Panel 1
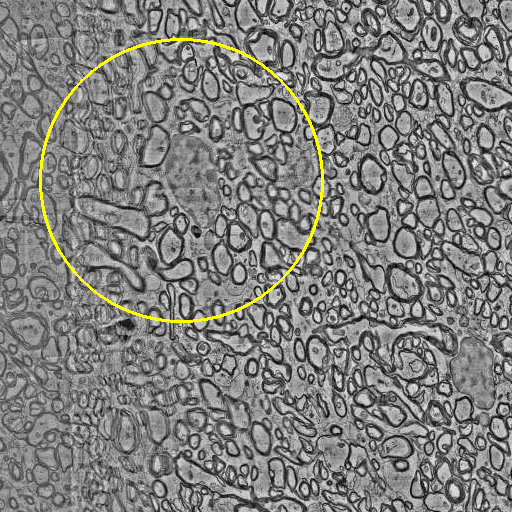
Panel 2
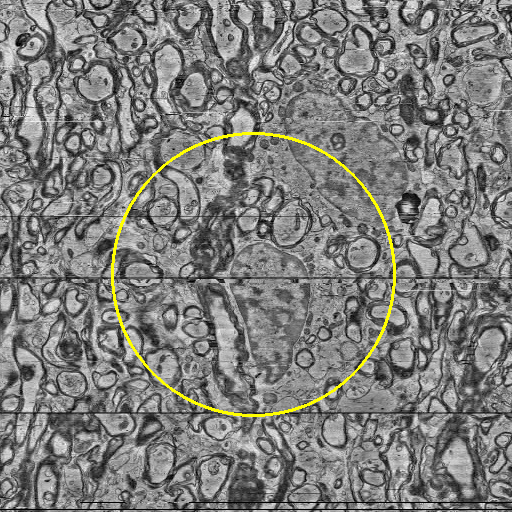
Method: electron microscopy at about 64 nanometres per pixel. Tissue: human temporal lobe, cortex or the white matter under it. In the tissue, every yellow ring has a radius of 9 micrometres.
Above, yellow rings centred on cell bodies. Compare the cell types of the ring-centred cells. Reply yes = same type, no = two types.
yes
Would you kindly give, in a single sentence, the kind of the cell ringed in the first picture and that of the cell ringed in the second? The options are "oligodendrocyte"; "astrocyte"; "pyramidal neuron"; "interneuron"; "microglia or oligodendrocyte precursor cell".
The second cell is a microglial cell or oligodendrocyte precursor cell, just as the first is.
